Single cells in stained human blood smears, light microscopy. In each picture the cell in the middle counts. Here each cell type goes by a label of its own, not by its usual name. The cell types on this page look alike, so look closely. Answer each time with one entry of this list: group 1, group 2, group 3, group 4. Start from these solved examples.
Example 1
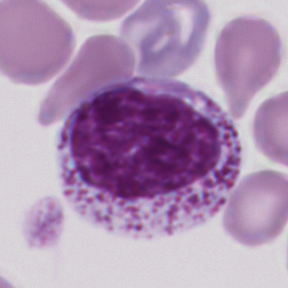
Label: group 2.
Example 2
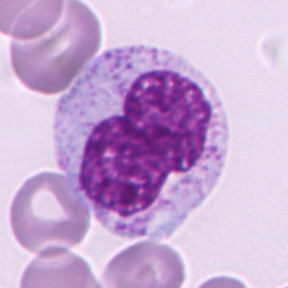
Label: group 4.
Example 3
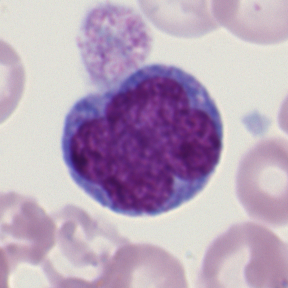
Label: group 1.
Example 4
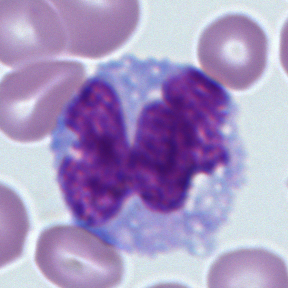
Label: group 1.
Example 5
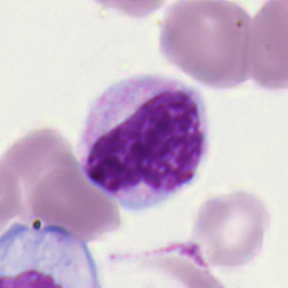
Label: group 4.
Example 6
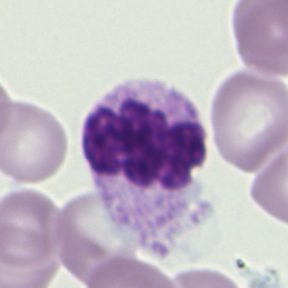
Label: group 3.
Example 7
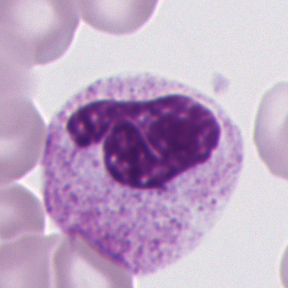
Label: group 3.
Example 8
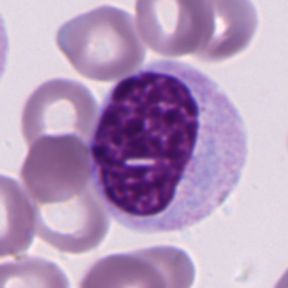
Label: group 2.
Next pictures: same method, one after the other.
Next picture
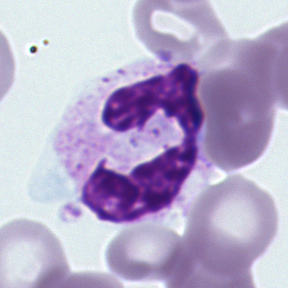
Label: group 3.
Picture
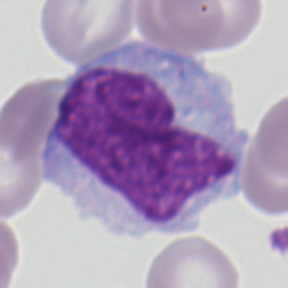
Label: group 1.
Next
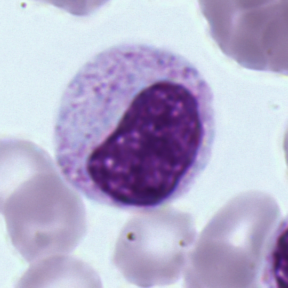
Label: group 2.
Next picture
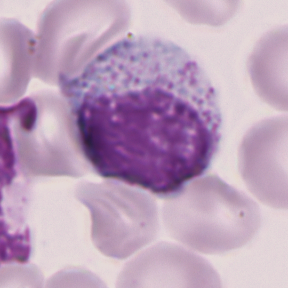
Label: group 2.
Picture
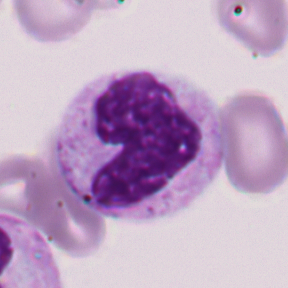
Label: group 4.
